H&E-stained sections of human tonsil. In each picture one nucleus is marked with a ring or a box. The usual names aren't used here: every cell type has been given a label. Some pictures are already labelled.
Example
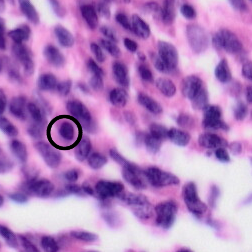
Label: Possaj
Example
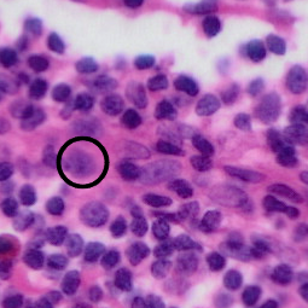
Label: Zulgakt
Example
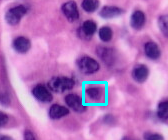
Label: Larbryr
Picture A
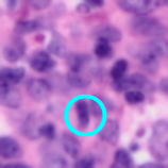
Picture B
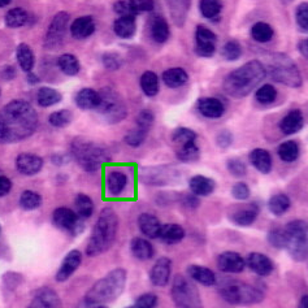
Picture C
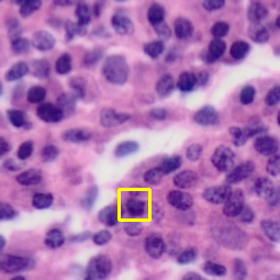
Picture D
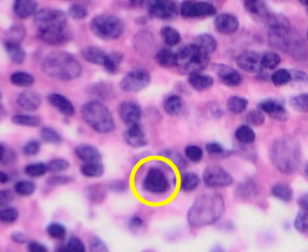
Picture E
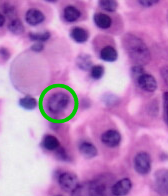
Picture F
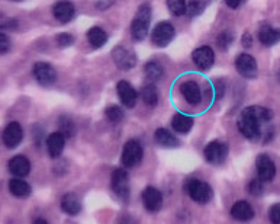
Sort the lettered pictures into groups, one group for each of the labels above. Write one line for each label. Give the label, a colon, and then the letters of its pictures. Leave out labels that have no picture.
Possaj: A, D
Larbryr: B, C, E, F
